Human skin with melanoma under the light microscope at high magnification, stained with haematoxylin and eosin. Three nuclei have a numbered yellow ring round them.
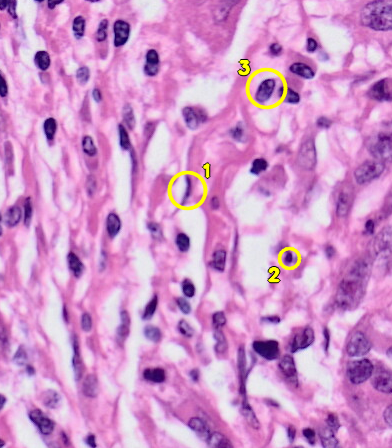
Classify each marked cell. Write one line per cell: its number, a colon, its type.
1: fibroblast or myofibroblast
2: macrophage or monocyte
3: lymphocyte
